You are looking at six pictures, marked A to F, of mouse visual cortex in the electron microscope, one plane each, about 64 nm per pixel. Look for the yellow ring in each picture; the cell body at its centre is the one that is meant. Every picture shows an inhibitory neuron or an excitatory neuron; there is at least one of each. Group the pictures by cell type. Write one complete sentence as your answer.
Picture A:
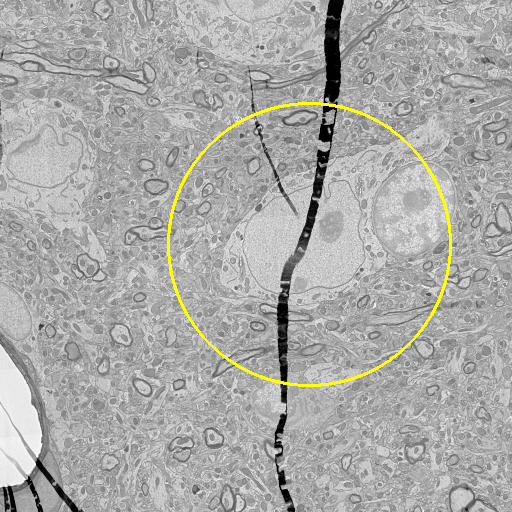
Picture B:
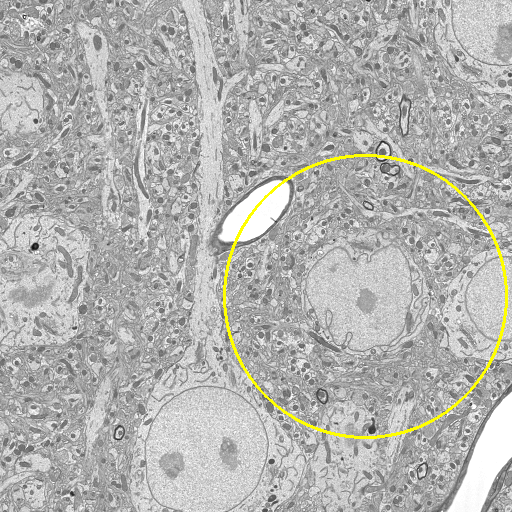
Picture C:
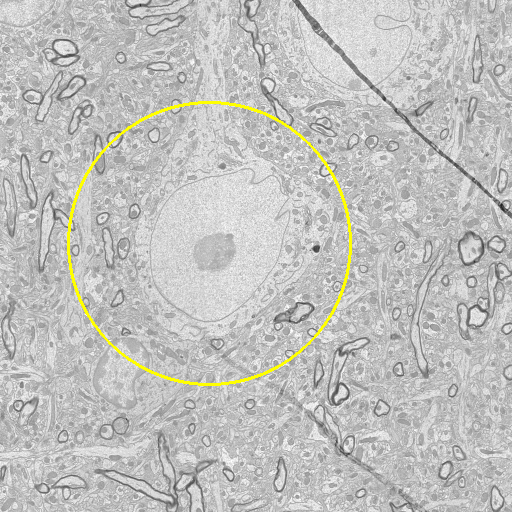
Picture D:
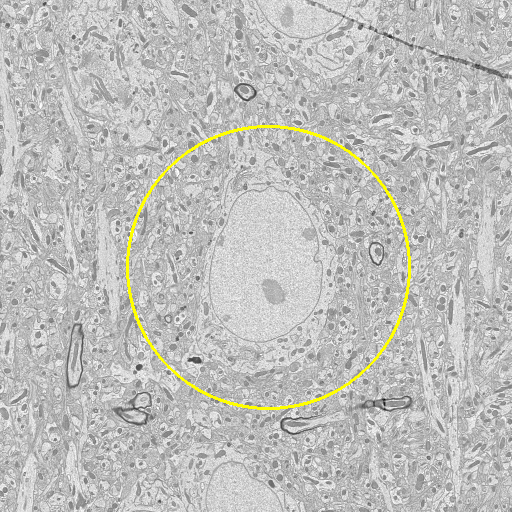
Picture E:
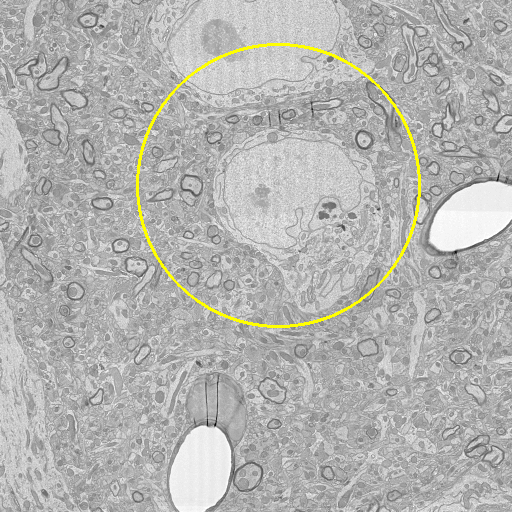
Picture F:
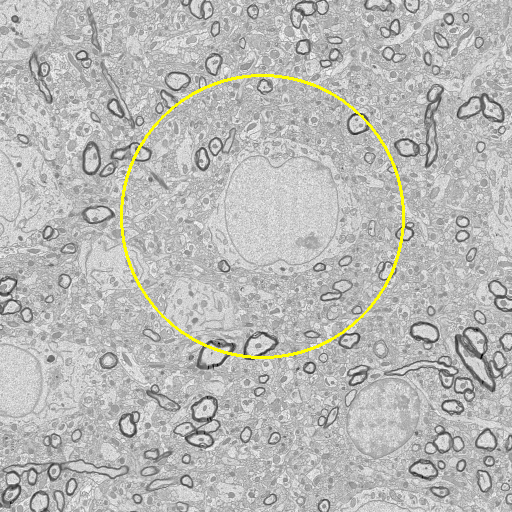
Pictures B and E show inhibitory neurons, while pictures A, C, D and F show excitatory neurons.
